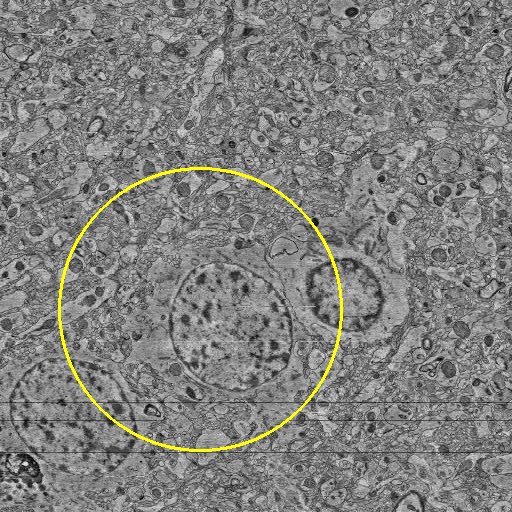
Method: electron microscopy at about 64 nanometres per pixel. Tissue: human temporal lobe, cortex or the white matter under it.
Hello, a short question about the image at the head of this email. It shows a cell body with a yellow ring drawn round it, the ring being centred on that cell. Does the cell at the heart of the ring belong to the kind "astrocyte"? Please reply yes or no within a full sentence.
Yes, the cell at the heart of the ring in that image is of that kind.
